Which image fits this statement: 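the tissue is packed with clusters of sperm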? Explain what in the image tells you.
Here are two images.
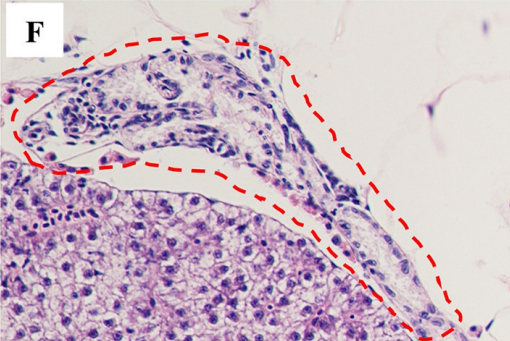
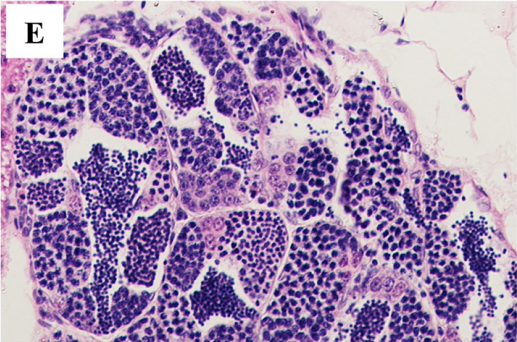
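The second image. Second image: many compartments filled with tiny dense dark purple heads.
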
